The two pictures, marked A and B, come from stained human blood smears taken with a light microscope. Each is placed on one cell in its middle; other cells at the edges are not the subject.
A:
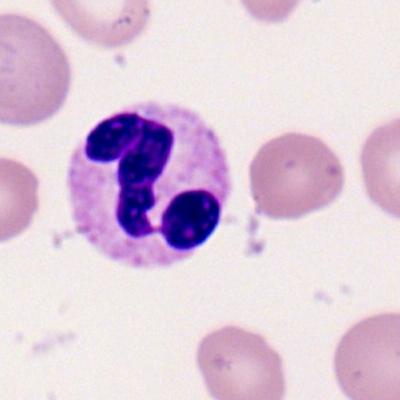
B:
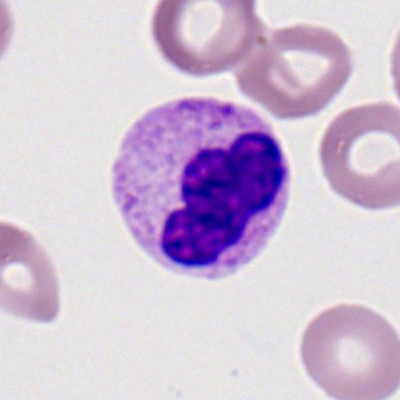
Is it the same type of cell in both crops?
yes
